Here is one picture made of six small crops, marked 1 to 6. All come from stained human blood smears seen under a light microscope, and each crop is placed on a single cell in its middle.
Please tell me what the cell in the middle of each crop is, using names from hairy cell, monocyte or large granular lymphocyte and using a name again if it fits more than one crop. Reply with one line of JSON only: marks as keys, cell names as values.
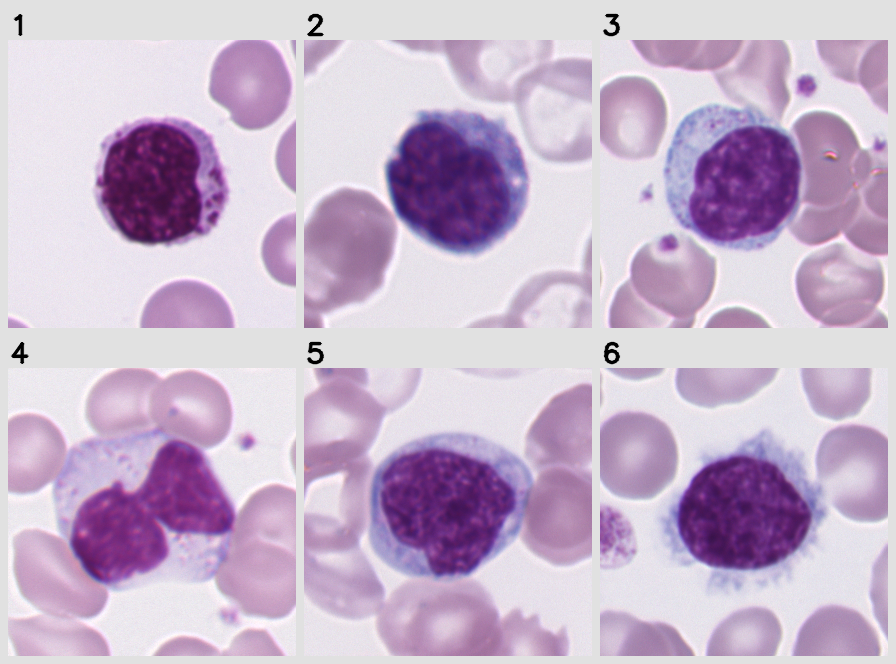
{"1": "large granular lymphocyte", "2": "monocyte", "3": "large granular lymphocyte", "4": "large granular lymphocyte", "5": "monocyte", "6": "hairy cell"}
